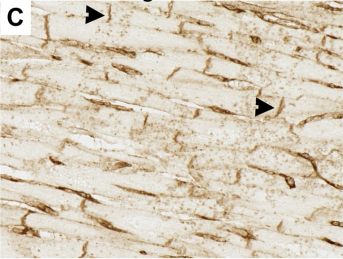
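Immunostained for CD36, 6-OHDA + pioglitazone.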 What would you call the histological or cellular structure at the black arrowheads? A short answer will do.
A: Intercalated discs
